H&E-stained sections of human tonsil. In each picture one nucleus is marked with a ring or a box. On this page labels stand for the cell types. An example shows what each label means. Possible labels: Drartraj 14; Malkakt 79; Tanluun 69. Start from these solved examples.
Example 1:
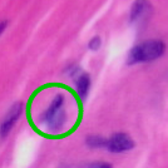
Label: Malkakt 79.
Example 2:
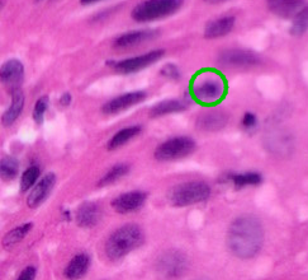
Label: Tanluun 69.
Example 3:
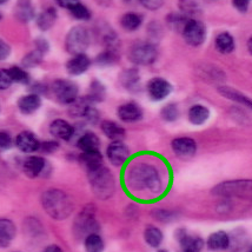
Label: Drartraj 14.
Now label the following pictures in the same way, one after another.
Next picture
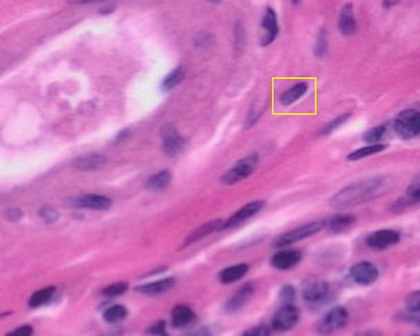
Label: Malkakt 79.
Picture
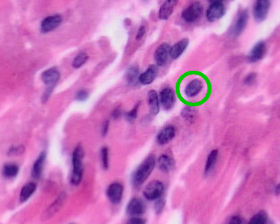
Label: Malkakt 79.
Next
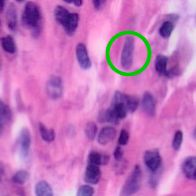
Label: Malkakt 79.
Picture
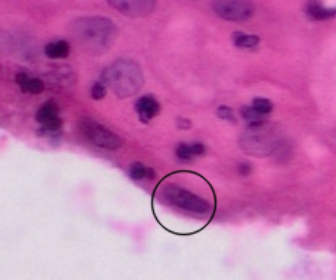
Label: Tanluun 69.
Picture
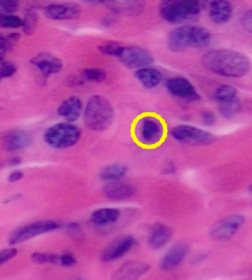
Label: Malkakt 79.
